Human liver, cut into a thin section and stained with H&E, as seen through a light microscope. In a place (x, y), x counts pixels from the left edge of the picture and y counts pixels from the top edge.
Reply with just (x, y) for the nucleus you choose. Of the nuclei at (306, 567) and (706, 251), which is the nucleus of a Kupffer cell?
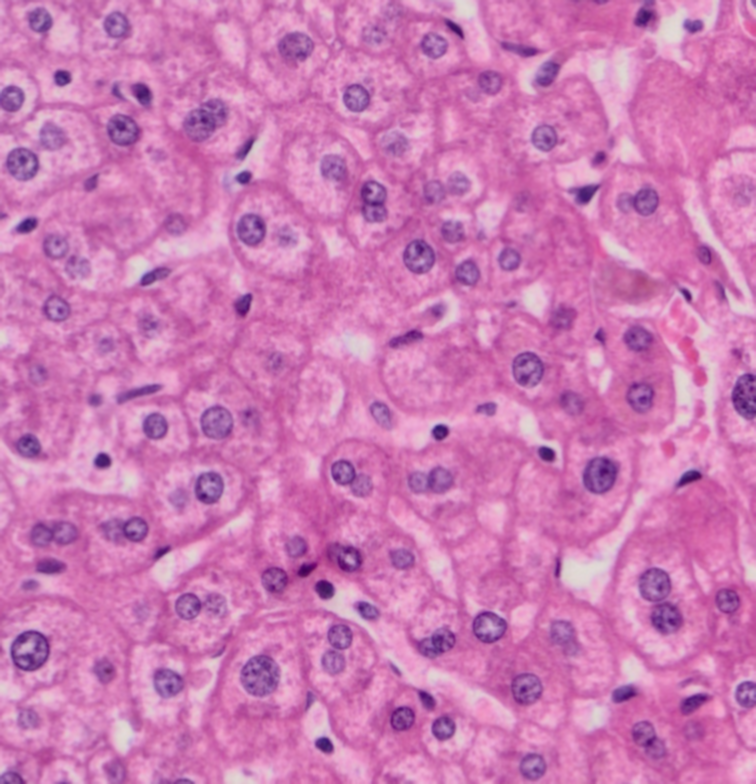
(706, 251)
